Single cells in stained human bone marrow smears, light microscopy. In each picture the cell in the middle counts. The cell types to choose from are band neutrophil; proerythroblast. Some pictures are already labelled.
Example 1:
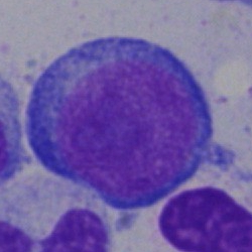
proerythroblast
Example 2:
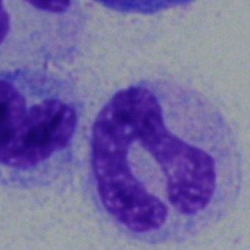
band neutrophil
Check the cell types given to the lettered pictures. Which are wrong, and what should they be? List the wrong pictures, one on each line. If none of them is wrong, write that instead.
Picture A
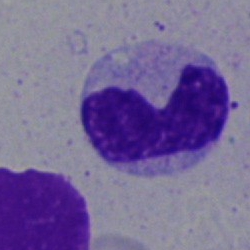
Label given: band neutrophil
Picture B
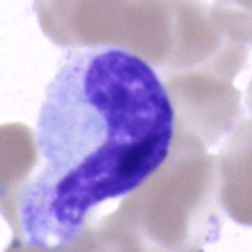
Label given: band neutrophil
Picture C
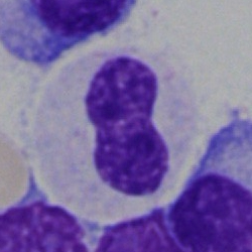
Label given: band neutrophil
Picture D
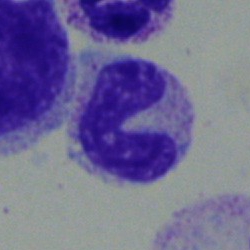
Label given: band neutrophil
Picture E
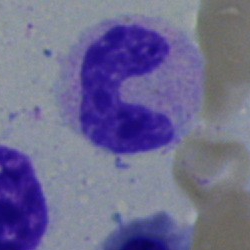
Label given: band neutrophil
Every label is right.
